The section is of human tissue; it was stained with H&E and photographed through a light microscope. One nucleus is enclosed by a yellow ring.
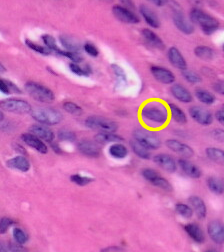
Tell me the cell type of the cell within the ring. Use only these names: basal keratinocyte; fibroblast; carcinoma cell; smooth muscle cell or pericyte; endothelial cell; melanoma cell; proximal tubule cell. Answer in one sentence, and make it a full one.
As far as its identity is concerned, the cell within the ring is a basal keratinocyte.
